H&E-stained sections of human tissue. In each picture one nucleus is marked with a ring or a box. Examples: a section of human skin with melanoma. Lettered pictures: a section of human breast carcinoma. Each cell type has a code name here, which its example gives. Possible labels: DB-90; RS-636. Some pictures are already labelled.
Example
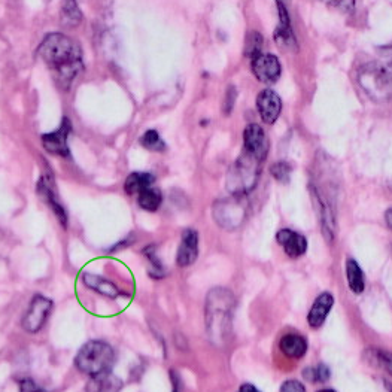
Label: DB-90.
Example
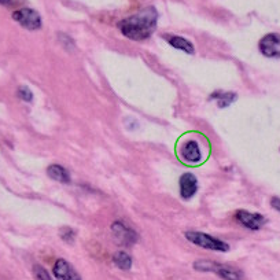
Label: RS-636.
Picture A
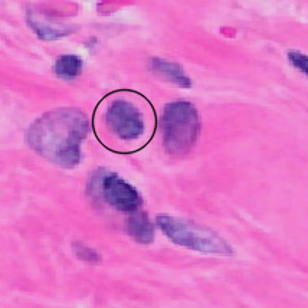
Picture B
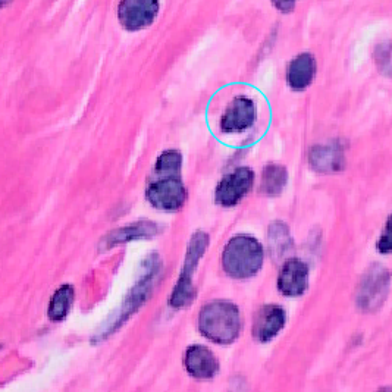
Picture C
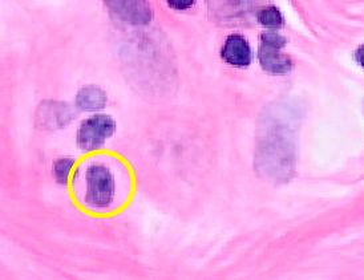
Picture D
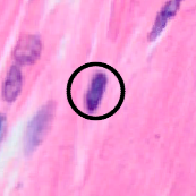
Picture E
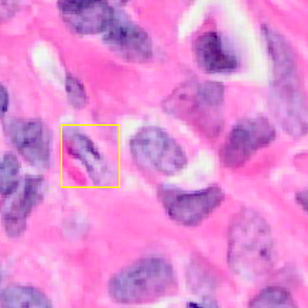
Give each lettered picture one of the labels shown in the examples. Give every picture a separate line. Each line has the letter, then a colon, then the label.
A: RS-636.
B: RS-636.
C: RS-636.
D: RS-636.
E: DB-90.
